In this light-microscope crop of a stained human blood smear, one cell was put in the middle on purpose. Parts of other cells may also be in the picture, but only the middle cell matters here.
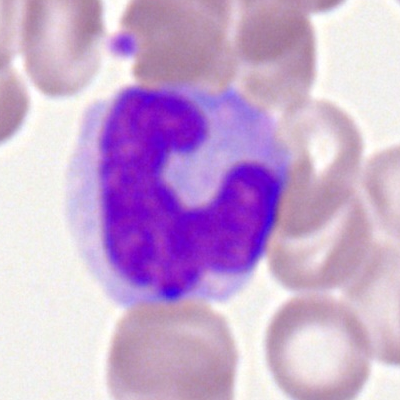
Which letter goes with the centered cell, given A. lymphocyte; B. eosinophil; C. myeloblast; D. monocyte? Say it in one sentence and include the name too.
The correct option, D, names the middle cell as a monocyte.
